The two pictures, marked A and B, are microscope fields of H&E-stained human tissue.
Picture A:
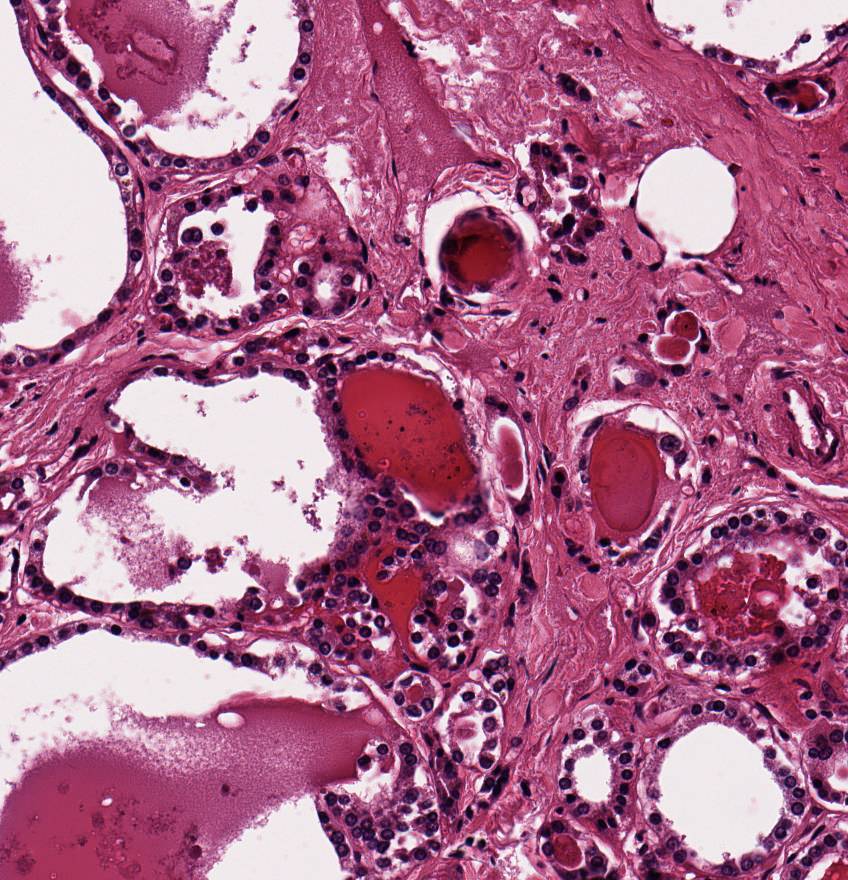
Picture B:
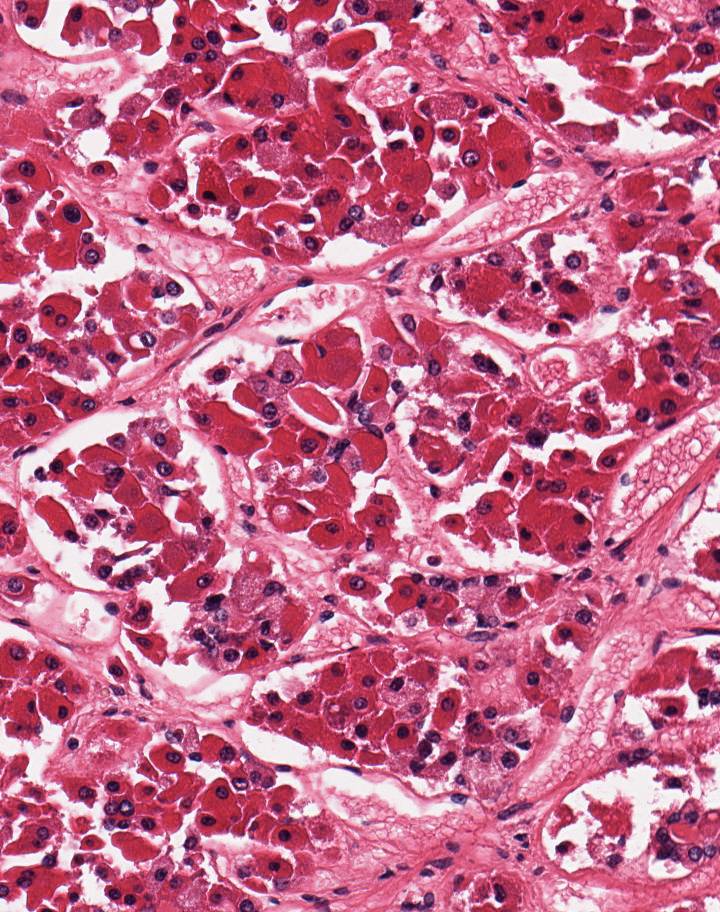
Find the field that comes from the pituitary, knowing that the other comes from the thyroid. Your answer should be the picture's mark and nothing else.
B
